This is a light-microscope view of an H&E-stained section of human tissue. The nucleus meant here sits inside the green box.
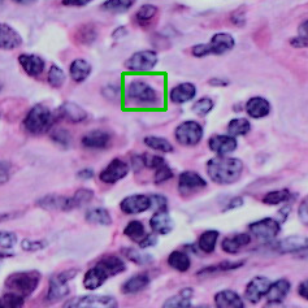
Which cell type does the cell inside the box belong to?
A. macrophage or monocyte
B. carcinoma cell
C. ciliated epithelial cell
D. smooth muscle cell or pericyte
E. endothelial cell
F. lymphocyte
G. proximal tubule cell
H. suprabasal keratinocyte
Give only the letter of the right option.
F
